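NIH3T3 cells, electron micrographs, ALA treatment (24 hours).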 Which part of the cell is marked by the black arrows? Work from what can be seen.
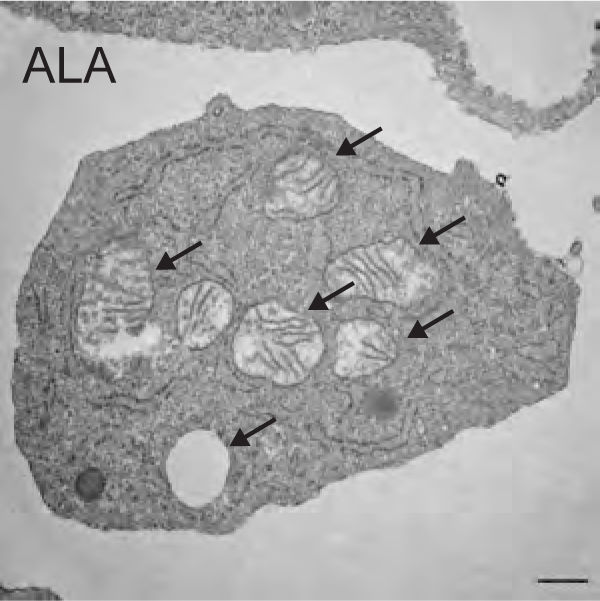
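Mitochondria. Most arrows point at rounded membrane-bound organelles in the cytoplasm. These organelles contain folded inner membranes crossing a pale interior. Several such organelles cluster together in the centre of the cell.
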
